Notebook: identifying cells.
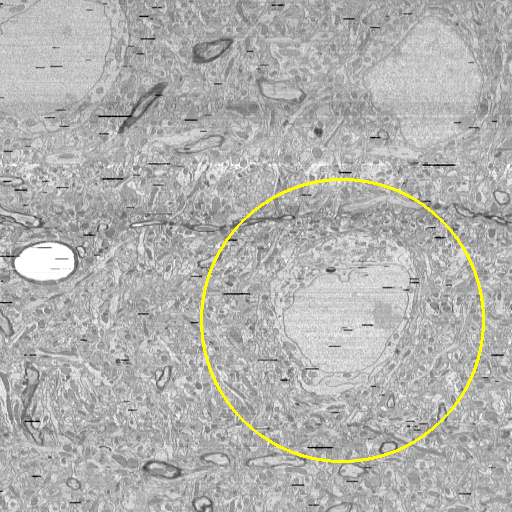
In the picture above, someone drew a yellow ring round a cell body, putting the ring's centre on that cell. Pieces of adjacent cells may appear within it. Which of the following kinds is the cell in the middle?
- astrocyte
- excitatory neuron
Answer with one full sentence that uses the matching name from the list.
In this picture, the yellow ring is centred on the body of an excitatory neuron.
